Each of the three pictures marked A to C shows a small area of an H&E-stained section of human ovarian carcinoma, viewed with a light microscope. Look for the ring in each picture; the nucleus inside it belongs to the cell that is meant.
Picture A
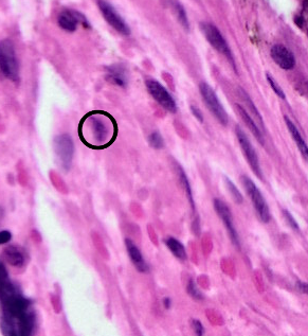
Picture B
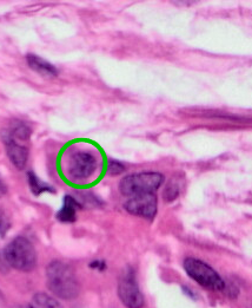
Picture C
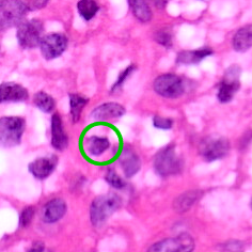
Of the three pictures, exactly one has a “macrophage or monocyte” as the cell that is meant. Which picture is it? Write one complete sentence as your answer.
The “macrophage or monocyte” is the one in picture C.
